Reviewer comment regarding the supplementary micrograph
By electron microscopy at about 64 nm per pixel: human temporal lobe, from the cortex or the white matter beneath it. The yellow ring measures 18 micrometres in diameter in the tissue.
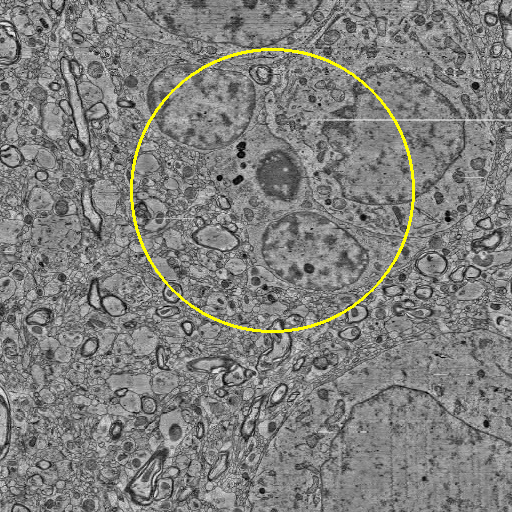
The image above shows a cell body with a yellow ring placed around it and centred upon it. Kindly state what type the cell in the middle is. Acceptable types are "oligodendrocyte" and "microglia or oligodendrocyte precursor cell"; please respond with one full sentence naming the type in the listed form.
In the image above, the cell on which the yellow ring is centred is an oligodendrocyte.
